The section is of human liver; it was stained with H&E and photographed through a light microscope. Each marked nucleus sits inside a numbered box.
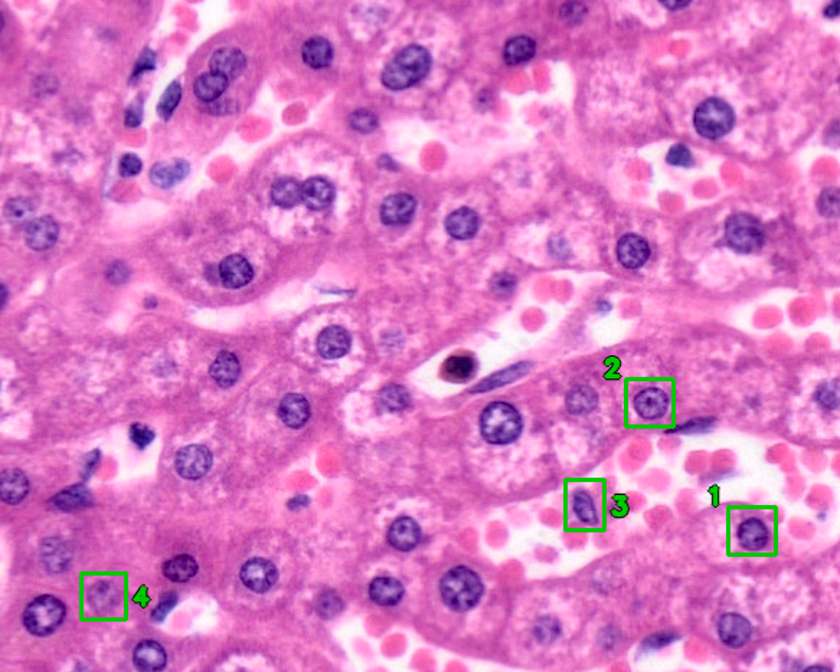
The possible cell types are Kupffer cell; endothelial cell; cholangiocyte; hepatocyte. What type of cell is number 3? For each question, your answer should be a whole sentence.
The correct answer for cell 3 is a Kupffer cell.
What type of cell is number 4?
The cell marked with the number 4 is a hepatocyte.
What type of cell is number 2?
In this section, the cell tagged 2 is a hepatocyte.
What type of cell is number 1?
The cell referenced by the number 1 is a hepatocyte in this field.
